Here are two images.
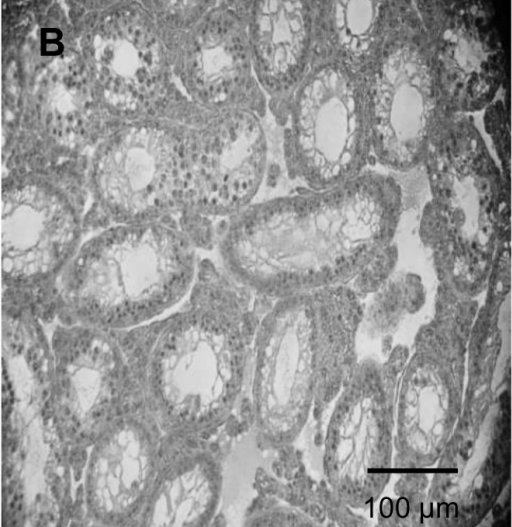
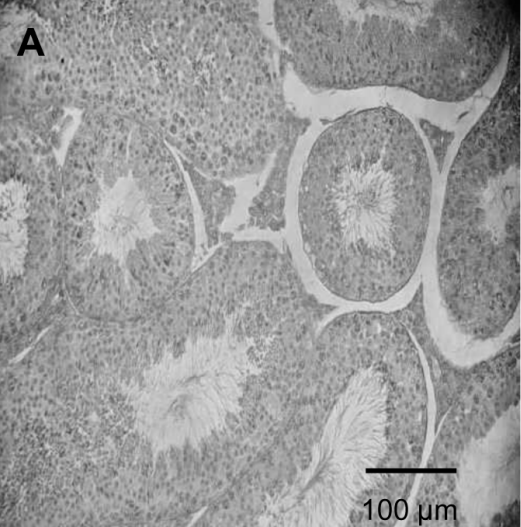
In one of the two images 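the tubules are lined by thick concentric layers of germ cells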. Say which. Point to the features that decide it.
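The second image. First image: tubules have thin walls of few cells around pale vacuolated lumens. Second image: tubules have thick many-layered epithelium around lumens filled with sperm tails.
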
